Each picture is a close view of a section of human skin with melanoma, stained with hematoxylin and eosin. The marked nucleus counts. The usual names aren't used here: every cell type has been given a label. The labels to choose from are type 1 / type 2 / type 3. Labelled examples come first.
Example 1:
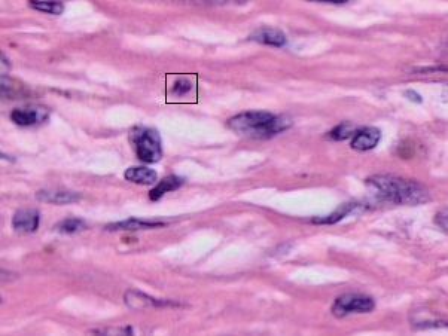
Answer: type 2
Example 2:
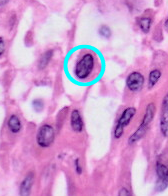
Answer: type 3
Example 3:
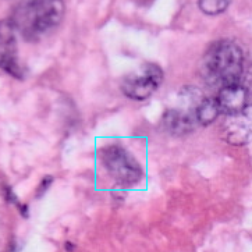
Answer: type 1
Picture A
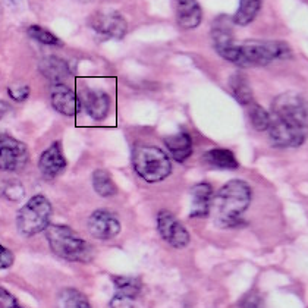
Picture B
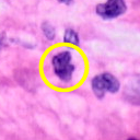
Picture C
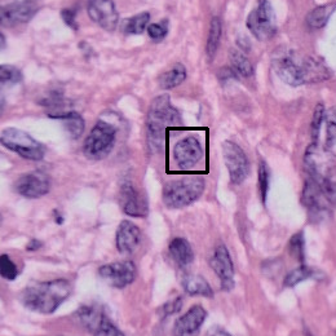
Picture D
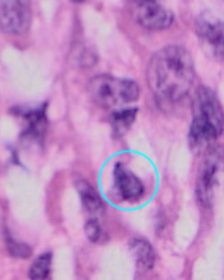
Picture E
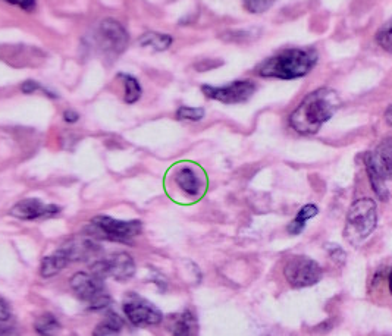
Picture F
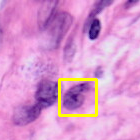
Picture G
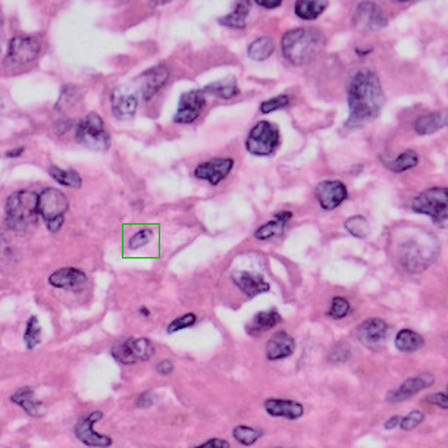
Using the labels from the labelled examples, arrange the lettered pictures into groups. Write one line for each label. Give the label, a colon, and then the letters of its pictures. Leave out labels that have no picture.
type 1: A, C, D
type 2: B
type 3: E, F, G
